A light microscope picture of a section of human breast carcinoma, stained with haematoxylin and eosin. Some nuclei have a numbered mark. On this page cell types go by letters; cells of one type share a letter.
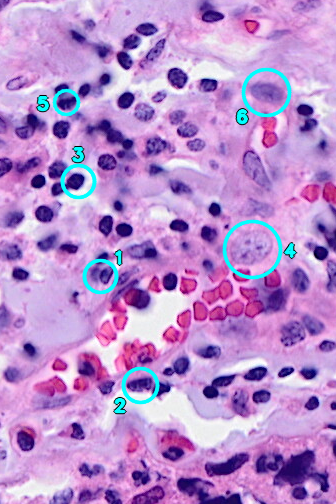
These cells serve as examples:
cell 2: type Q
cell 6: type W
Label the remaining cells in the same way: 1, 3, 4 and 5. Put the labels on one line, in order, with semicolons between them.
type Q; type Q; type W; type Q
